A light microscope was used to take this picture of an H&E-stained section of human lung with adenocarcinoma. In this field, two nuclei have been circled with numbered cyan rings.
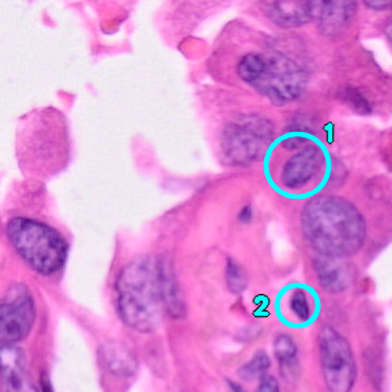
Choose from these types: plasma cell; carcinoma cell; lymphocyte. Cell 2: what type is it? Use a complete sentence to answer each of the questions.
Number 2 is placed on a lymphocyte here.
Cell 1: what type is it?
Marked with the number 1, this cell is a carcinoma cell.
